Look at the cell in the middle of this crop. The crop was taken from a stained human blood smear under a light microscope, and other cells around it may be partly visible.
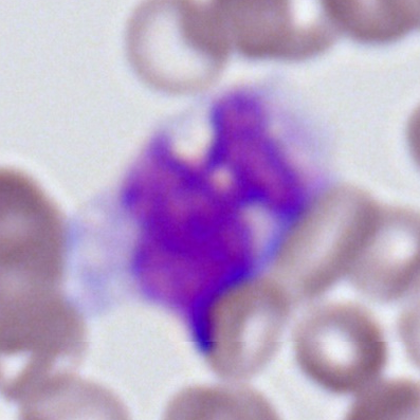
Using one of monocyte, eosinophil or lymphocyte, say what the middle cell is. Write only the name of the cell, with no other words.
monocyte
